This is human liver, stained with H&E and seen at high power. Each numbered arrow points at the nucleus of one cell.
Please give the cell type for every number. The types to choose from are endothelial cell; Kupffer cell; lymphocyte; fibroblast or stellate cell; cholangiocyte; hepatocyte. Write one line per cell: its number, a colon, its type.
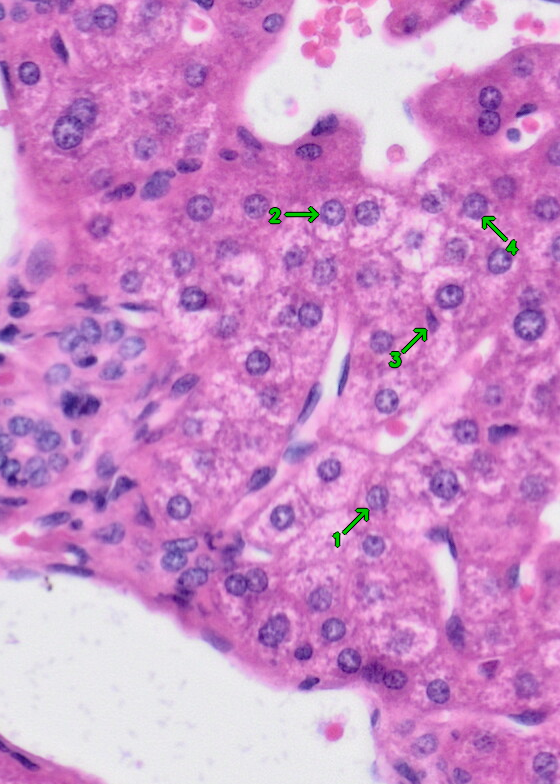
1: hepatocyte
2: hepatocyte
3: fibroblast or stellate cell
4: hepatocyte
